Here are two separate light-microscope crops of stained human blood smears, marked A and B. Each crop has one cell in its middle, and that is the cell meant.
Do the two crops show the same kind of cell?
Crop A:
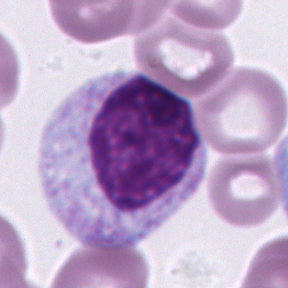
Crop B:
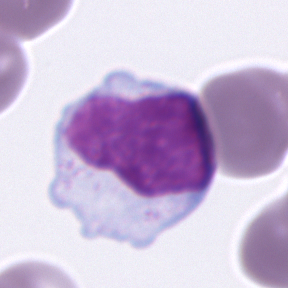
no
